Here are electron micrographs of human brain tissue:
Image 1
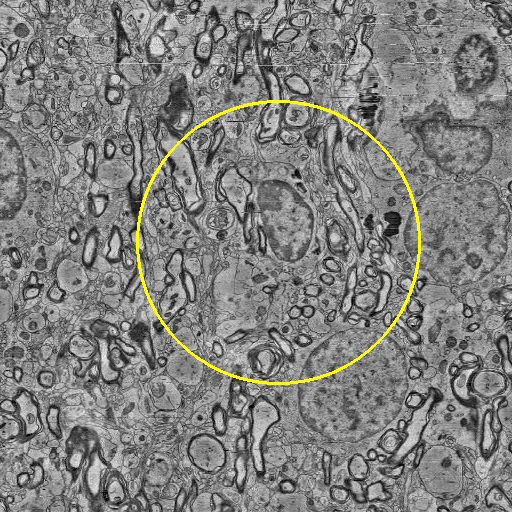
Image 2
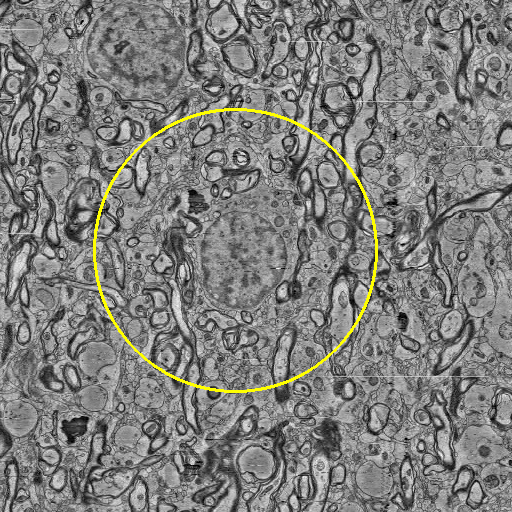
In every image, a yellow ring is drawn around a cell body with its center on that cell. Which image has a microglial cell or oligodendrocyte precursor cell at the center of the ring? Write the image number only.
1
